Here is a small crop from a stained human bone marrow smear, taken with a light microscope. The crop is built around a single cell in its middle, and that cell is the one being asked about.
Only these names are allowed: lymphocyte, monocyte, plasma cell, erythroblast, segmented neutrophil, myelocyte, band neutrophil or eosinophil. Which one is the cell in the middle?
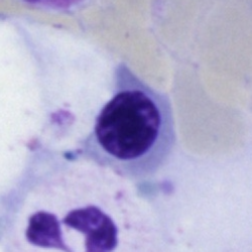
erythroblast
